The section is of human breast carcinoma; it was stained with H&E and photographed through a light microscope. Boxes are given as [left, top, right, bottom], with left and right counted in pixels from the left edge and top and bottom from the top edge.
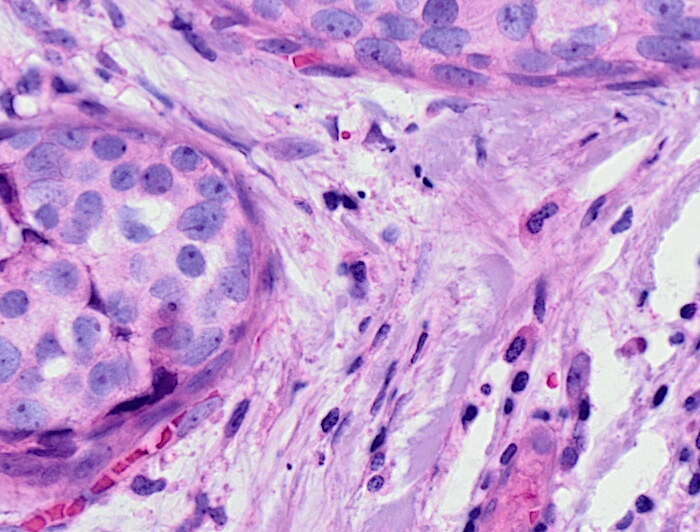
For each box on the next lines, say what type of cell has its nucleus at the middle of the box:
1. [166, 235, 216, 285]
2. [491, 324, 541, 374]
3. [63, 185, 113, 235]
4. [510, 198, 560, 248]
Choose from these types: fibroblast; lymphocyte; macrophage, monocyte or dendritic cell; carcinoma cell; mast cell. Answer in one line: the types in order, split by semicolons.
carcinoma cell; mast cell; carcinoma cell; mast cell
